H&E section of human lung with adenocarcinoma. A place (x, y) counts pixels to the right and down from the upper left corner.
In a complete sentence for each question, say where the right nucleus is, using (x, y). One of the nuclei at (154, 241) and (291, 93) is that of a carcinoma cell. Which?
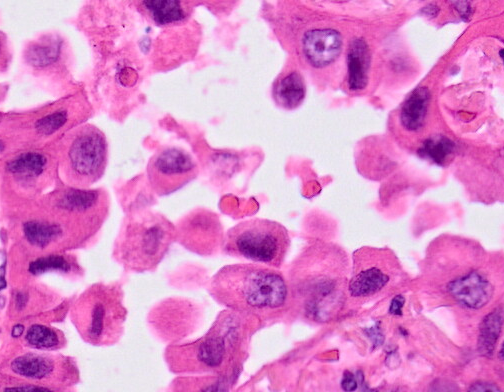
It is the nucleus at (291, 93) that belongs to a carcinoma cell.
